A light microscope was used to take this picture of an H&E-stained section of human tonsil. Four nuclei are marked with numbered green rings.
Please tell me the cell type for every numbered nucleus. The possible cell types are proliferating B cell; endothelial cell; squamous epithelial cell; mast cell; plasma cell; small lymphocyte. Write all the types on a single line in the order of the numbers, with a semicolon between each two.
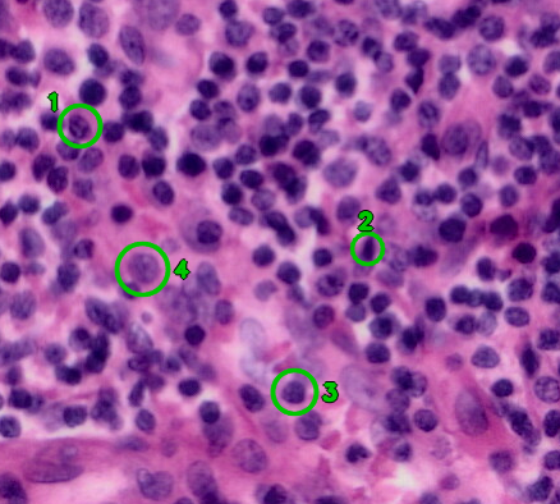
plasma cell; endothelial cell; endothelial cell; endothelial cell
